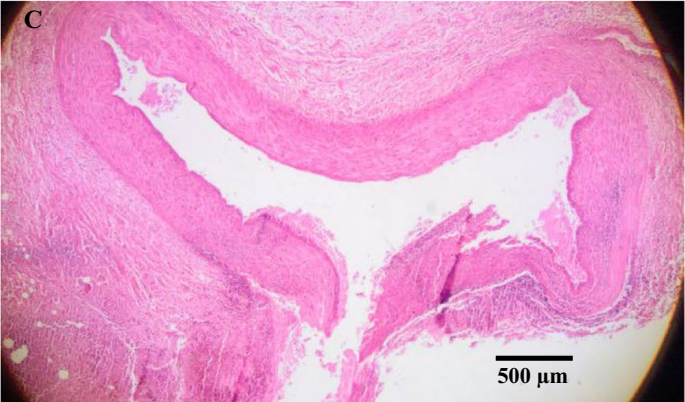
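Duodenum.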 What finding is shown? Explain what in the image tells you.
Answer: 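The vessel wall is broken through at its lower part. Torn fragments of wall project into and beyond the lumen.
Hence: Disrupted artery.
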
